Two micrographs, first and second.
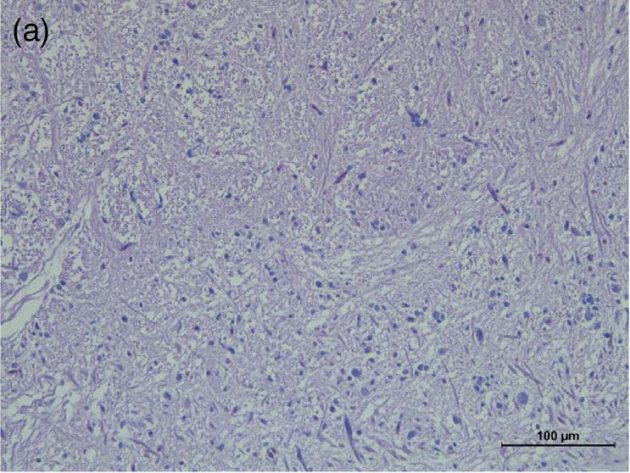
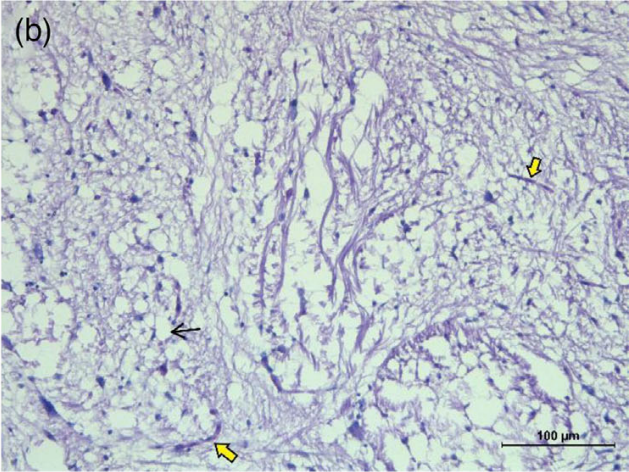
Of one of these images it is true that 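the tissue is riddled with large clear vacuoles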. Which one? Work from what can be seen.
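The second image. Second image: most of the field is taken up by large clear empty spaces separated by thin strands. First image: the neuropil is fairly compact with only small scattered clear spaces.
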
